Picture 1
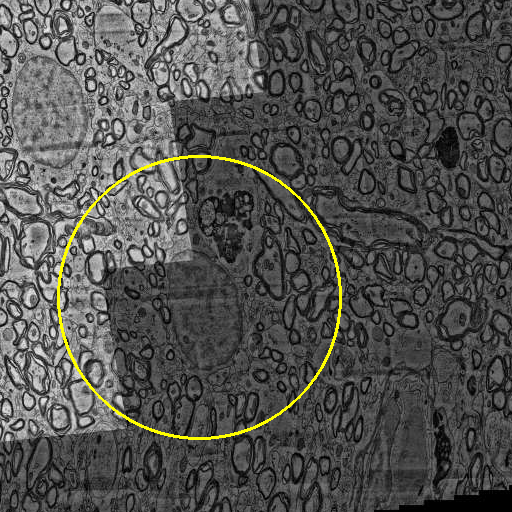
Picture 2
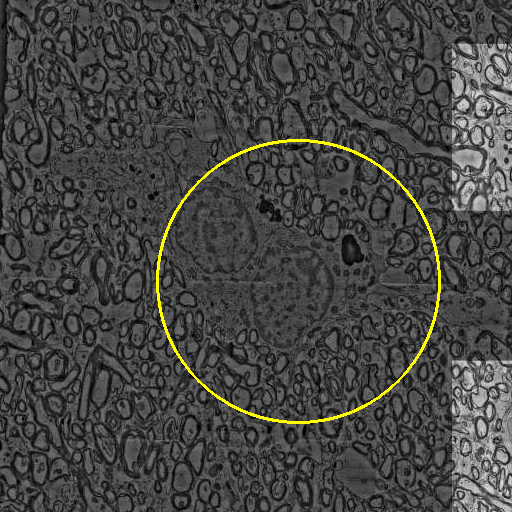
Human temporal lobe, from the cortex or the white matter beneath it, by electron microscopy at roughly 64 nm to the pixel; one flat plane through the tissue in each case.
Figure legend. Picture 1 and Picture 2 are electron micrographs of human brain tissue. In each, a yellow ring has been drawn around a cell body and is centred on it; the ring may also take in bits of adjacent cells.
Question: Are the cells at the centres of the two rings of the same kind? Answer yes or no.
yes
